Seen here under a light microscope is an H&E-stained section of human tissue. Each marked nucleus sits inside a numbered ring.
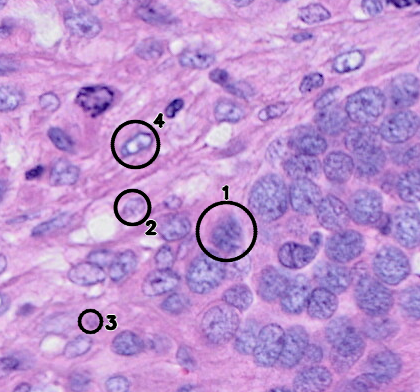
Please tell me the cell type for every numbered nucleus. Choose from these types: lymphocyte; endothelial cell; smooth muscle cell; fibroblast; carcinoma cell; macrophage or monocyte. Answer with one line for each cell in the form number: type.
1: carcinoma cell
2: fibroblast
3: fibroblast
4: fibroblast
